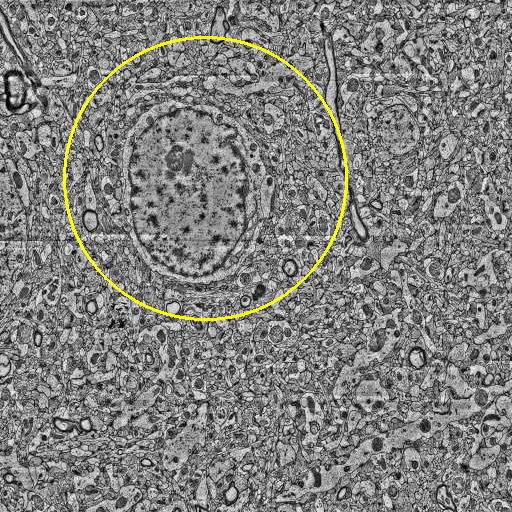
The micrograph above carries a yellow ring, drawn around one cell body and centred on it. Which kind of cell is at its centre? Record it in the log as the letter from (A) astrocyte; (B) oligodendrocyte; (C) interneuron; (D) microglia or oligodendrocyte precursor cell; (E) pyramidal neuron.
C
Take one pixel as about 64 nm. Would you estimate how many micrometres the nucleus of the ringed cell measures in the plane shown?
The nucleus is approximately 11 micrometers long by 8 micrometers wide in this plane.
